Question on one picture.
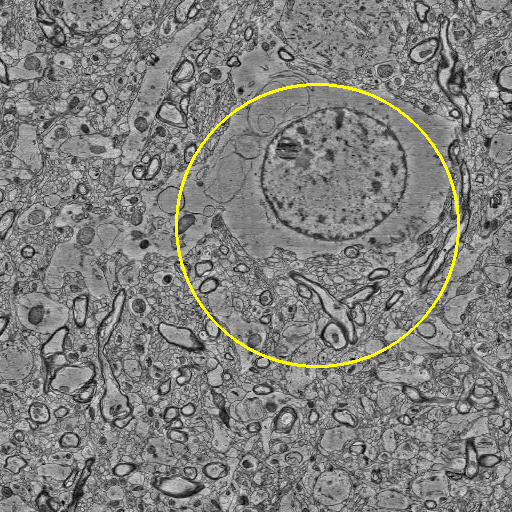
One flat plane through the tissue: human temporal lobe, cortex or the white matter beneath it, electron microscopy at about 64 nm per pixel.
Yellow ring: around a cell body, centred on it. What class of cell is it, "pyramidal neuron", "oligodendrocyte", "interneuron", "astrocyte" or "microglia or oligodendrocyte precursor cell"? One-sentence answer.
This is an astrocyte, the cell the ring is centred on.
